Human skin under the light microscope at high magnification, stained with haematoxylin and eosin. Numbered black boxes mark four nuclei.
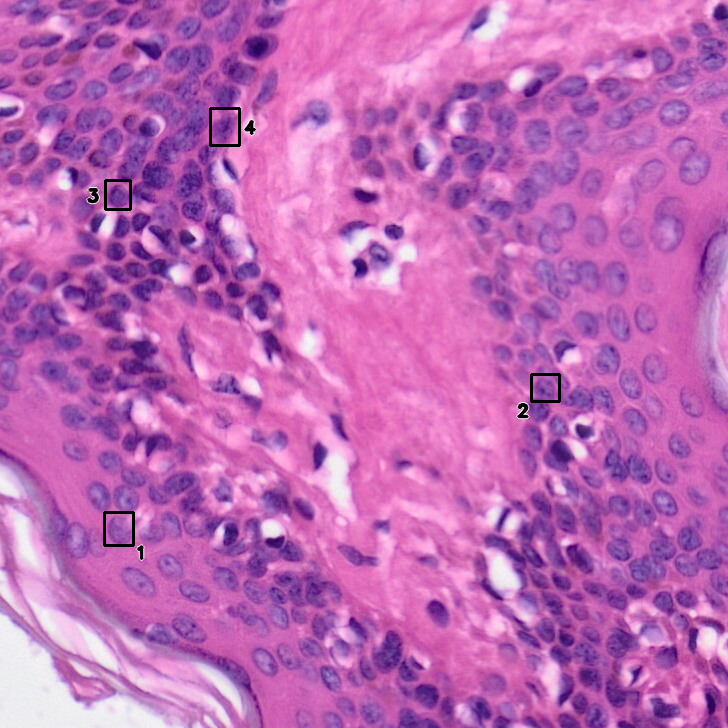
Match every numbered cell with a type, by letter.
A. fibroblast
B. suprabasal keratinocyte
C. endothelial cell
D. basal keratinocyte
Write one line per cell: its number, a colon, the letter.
1: B
2: D
3: D
4: D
